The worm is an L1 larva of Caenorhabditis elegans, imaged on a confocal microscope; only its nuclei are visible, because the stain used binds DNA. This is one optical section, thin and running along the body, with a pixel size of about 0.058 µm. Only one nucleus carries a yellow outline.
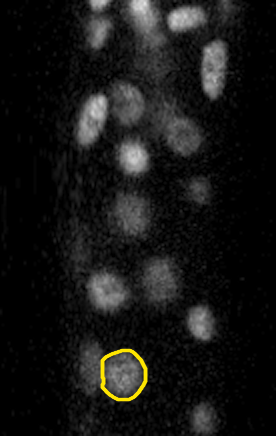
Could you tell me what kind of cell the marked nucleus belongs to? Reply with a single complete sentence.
This is the nucleus of a seam cell.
